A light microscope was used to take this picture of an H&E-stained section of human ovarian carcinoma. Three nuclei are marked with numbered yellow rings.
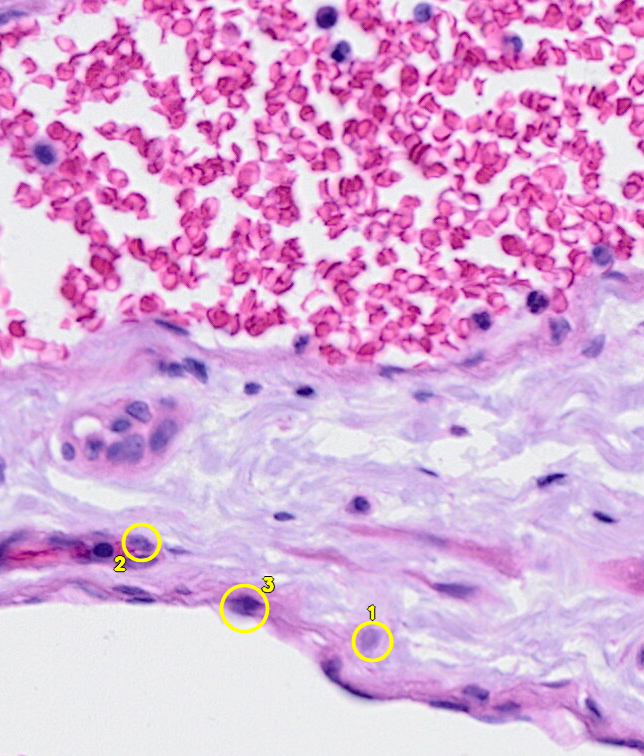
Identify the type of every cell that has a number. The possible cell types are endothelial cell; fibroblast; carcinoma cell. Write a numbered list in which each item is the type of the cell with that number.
1. fibroblast
2. endothelial cell
3. endothelial cell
